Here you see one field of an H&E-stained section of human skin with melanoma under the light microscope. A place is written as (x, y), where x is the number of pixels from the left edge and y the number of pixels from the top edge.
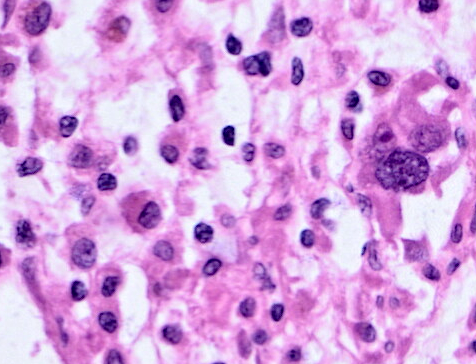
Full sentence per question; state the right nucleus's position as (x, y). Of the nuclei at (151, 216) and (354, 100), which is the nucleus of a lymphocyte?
The nucleus belonging to a lymphocyte is the one at (354, 100).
